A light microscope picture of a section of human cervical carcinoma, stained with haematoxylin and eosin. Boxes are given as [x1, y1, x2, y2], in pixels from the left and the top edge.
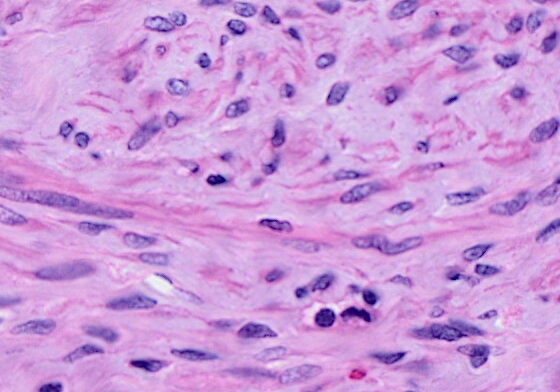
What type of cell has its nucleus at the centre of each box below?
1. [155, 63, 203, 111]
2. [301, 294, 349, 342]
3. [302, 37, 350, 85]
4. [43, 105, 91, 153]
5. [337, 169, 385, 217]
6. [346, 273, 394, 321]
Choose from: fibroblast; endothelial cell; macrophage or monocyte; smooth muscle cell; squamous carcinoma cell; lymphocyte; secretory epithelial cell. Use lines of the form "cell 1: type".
cell 1: smooth muscle cell
cell 2: lymphocyte
cell 3: smooth muscle cell
cell 4: smooth muscle cell
cell 5: smooth muscle cell
cell 6: lymphocyte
